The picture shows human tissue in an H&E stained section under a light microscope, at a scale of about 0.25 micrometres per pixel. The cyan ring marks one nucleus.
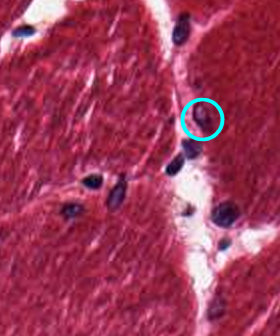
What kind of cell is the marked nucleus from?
skeletal muscle fibre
